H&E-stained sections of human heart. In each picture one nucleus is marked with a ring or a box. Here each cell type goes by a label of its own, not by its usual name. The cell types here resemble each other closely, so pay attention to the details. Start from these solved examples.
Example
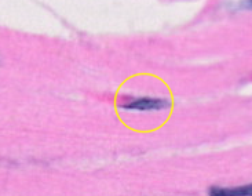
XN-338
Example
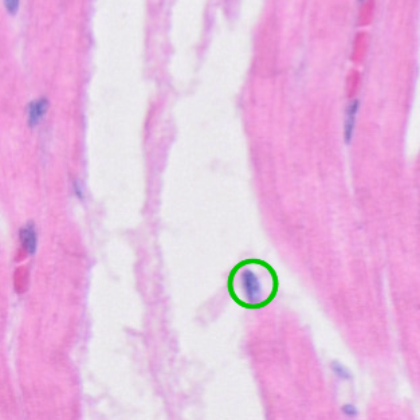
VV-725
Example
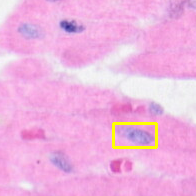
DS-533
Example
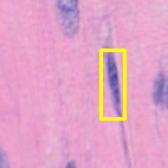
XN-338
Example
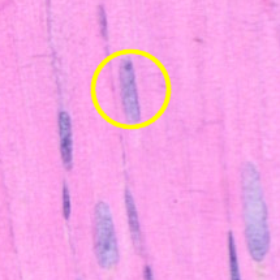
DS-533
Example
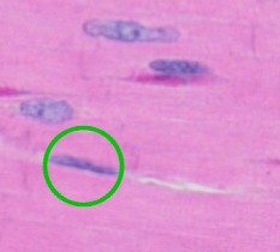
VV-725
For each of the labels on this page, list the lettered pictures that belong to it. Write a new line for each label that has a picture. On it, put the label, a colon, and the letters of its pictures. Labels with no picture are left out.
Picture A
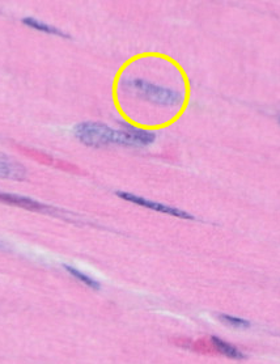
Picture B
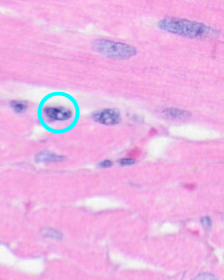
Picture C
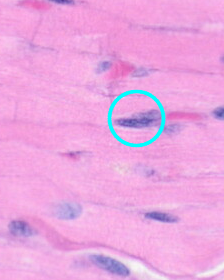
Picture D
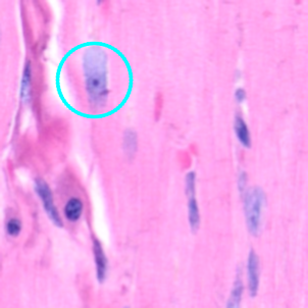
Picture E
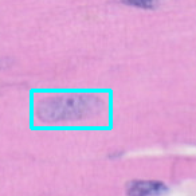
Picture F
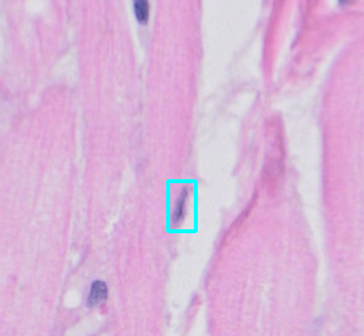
XN-338: C
VV-725: B, F
DS-533: A, D, E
